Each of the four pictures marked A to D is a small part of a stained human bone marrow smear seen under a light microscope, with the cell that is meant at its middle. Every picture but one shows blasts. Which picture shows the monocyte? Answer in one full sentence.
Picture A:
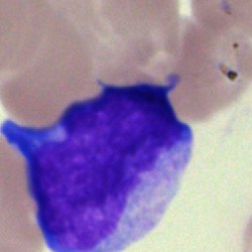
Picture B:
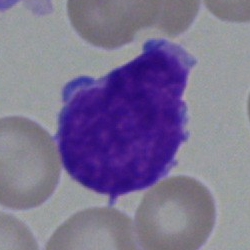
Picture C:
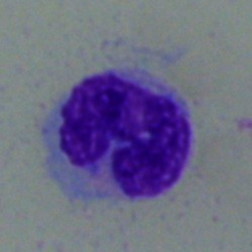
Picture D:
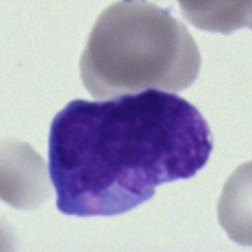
Picture C is the one that shows the monocyte.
